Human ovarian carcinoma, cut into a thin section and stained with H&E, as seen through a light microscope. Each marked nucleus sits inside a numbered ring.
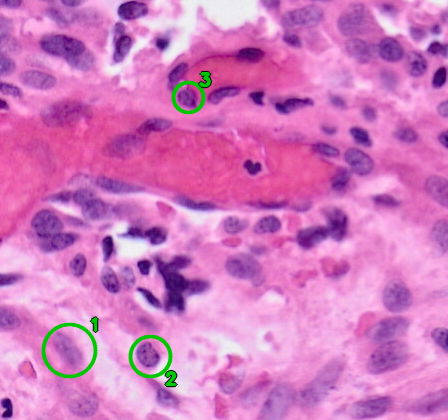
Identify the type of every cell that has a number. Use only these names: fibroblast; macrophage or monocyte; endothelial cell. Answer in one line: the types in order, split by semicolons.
fibroblast; macrophage or monocyte; endothelial cell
